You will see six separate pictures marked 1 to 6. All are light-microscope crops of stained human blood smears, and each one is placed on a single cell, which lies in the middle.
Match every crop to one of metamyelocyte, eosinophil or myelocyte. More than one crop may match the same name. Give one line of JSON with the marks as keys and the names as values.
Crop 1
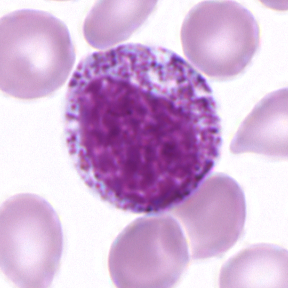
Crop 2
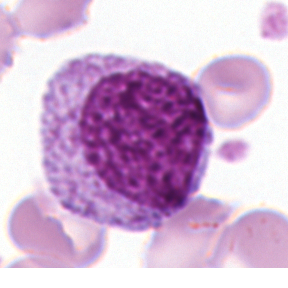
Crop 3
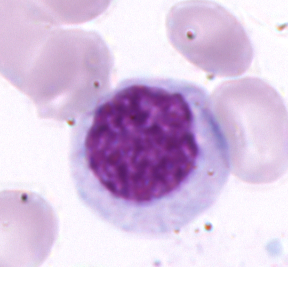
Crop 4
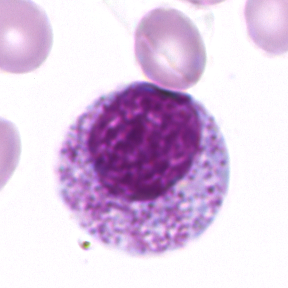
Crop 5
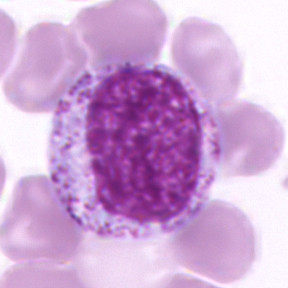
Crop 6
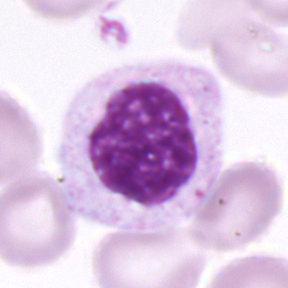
{"1": "myelocyte", "2": "myelocyte", "3": "myelocyte", "4": "myelocyte", "5": "myelocyte", "6": "metamyelocyte"}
